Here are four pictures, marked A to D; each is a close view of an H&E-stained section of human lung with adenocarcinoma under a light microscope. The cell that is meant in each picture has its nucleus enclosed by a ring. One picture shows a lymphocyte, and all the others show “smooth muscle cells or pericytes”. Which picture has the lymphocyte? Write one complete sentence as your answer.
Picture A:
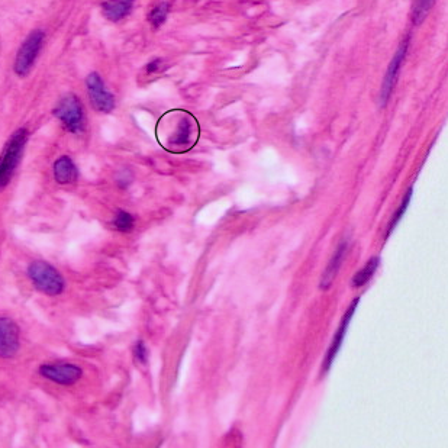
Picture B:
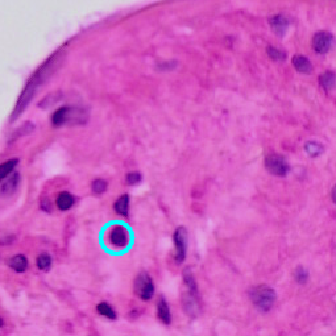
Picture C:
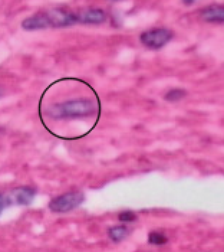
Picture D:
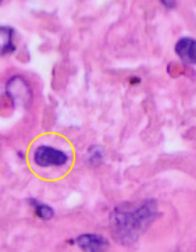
Picture D is the one that shows the lymphocyte.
